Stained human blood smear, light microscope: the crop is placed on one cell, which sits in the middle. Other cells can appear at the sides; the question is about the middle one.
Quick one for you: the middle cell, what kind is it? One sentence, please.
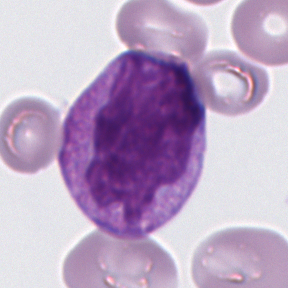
The cell of interest, in the center, is an atypical promyelocyte.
